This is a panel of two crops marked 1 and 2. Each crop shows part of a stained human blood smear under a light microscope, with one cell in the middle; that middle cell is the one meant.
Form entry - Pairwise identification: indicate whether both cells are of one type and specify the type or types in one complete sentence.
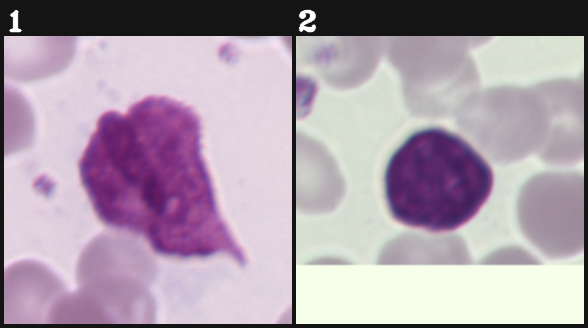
Yes, both of the crops show smudge cells.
